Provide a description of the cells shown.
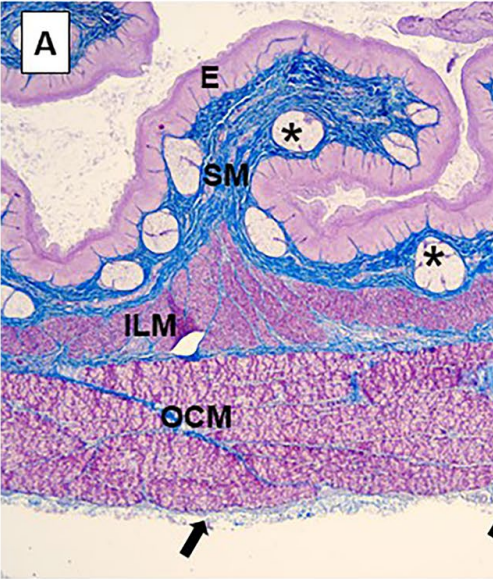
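At low power the layered wall of the esophagus is seen: a pink epithelium lines folded mucosal ridges over a blue-stained connective tissue submucosa that holds pale, rounded mucous glands. Below lie two thick red-stained muscle layers, separated by blue connective tissue septa. A thin, loose, pale blue layer of adventitia covers the outer surface.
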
